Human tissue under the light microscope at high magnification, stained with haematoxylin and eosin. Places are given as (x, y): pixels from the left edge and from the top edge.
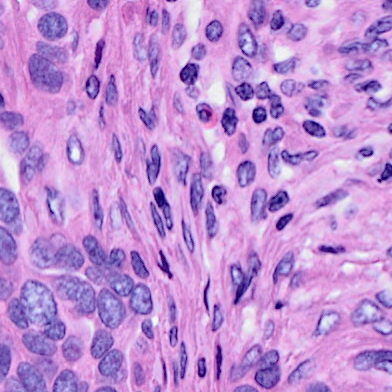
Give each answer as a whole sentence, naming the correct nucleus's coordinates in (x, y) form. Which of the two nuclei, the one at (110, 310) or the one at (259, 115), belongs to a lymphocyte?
The nucleus belonging to a lymphocyte is the one at (259, 115).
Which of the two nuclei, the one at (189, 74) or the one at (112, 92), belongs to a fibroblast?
The nucleus at (112, 92) is identified as belonging to a fibroblast.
